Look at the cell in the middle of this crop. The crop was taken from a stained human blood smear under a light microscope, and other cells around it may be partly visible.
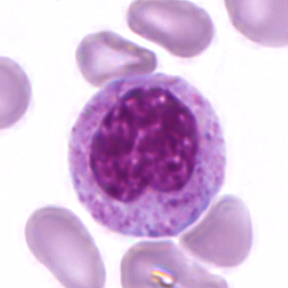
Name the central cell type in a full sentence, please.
Answering briefly, the cell in the middle is a myelocyte.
